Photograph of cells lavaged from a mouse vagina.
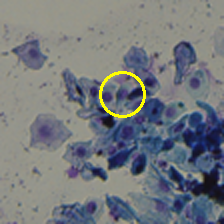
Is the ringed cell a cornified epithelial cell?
No, it is a nucleated epithelial cell.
